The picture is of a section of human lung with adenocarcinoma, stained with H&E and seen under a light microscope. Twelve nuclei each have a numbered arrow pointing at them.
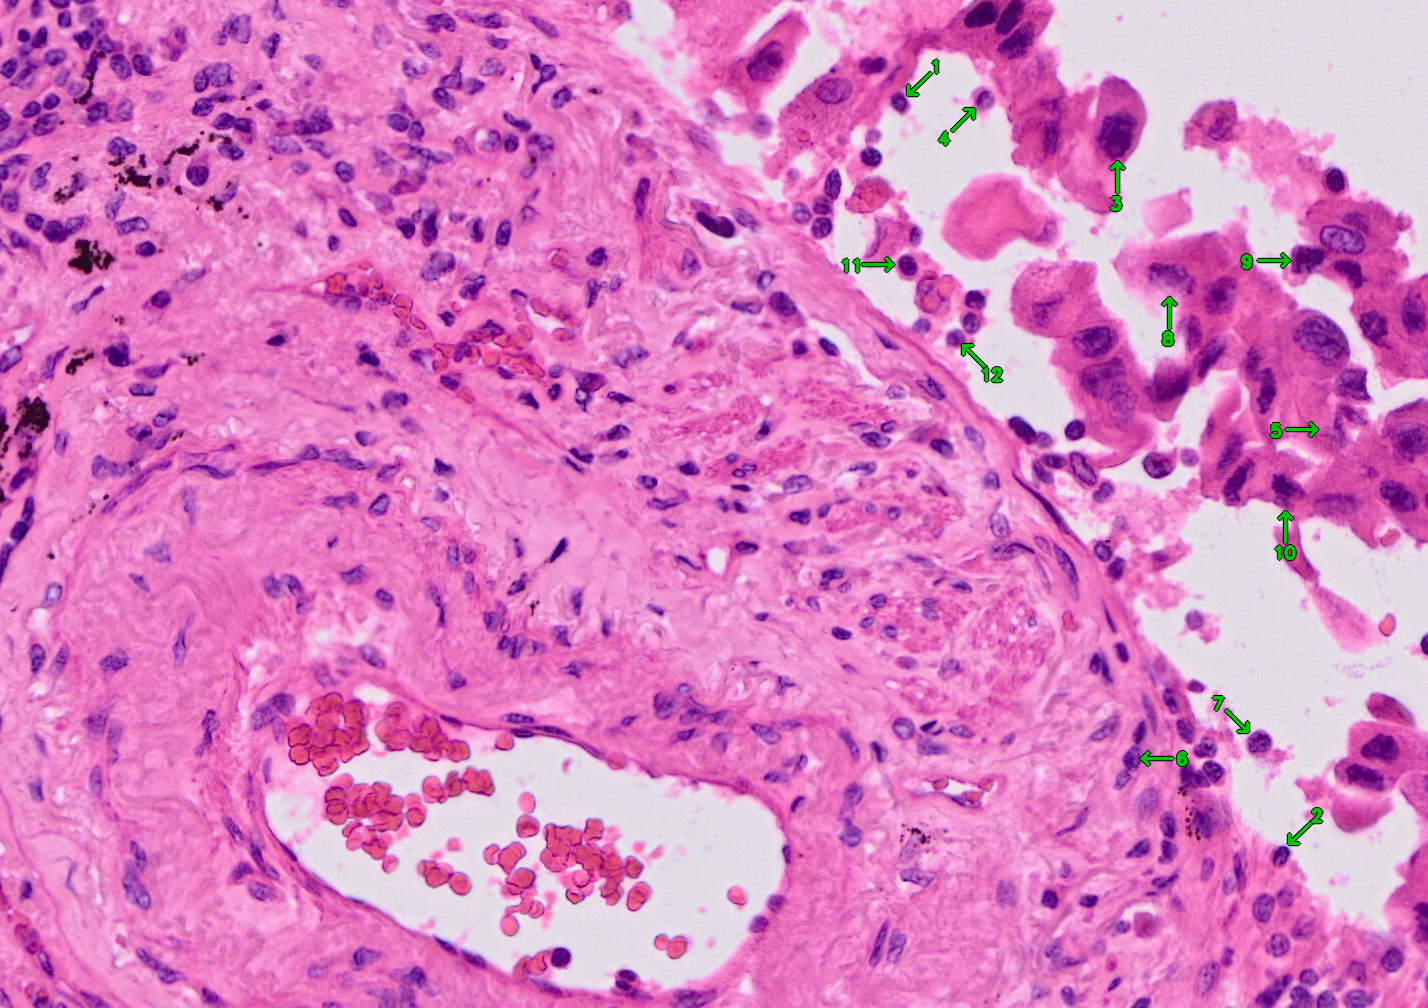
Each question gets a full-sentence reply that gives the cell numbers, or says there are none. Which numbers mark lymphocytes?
On this slide, the cells numbered 1, 2, 4, 6, 7, 11 and 12 are lymphocytes.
